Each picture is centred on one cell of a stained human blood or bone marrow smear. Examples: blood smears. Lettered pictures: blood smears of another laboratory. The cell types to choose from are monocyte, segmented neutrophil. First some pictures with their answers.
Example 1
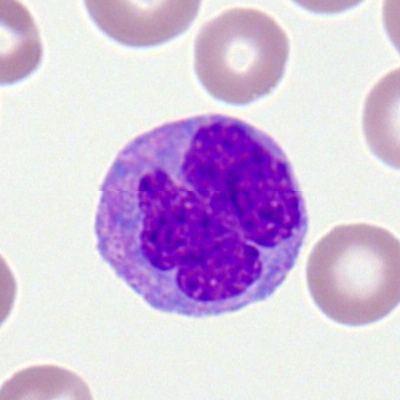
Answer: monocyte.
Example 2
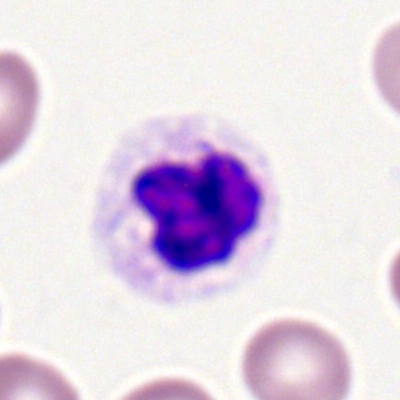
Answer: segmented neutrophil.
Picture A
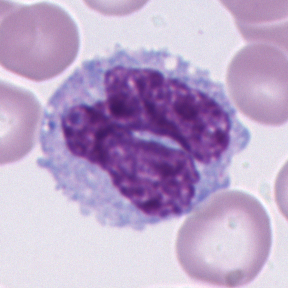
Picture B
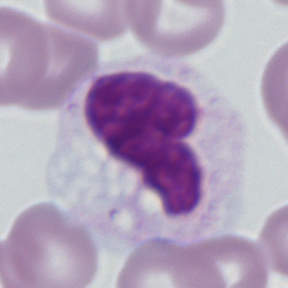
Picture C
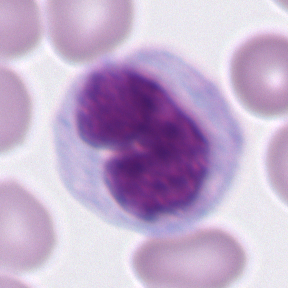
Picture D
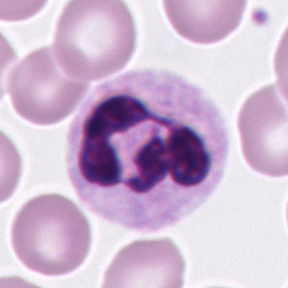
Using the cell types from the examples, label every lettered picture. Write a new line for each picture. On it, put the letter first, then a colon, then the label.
A: monocyte.
B: segmented neutrophil.
C: monocyte.
D: segmented neutrophil.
